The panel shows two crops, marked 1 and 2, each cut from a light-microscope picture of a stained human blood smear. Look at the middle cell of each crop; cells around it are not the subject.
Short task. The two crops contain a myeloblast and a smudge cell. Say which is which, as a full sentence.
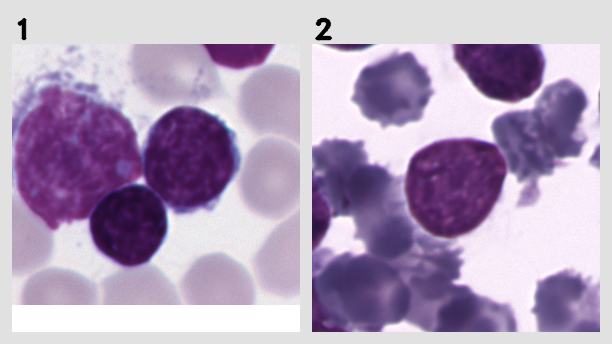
The cell at the centre of crop 1 is a myeloblast, and at the centre of crop 2, a smudge cell.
